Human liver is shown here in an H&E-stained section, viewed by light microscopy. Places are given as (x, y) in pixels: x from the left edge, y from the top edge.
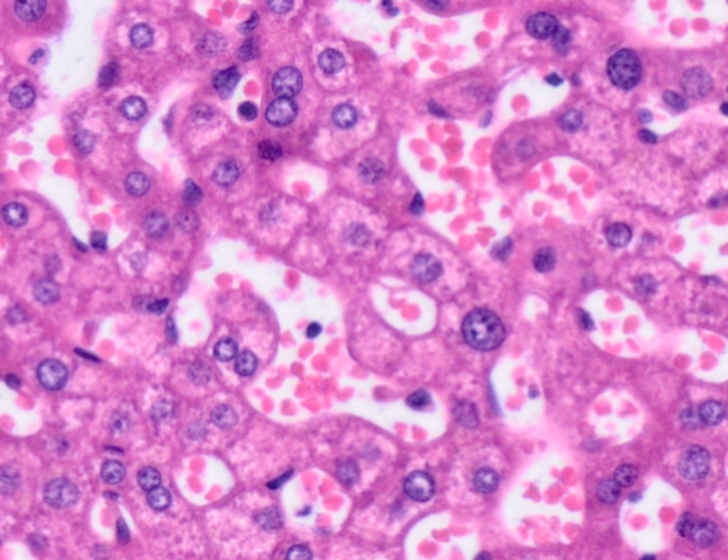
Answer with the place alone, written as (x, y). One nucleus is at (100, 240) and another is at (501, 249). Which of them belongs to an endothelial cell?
(501, 249)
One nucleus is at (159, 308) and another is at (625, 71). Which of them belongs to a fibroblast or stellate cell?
(159, 308)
